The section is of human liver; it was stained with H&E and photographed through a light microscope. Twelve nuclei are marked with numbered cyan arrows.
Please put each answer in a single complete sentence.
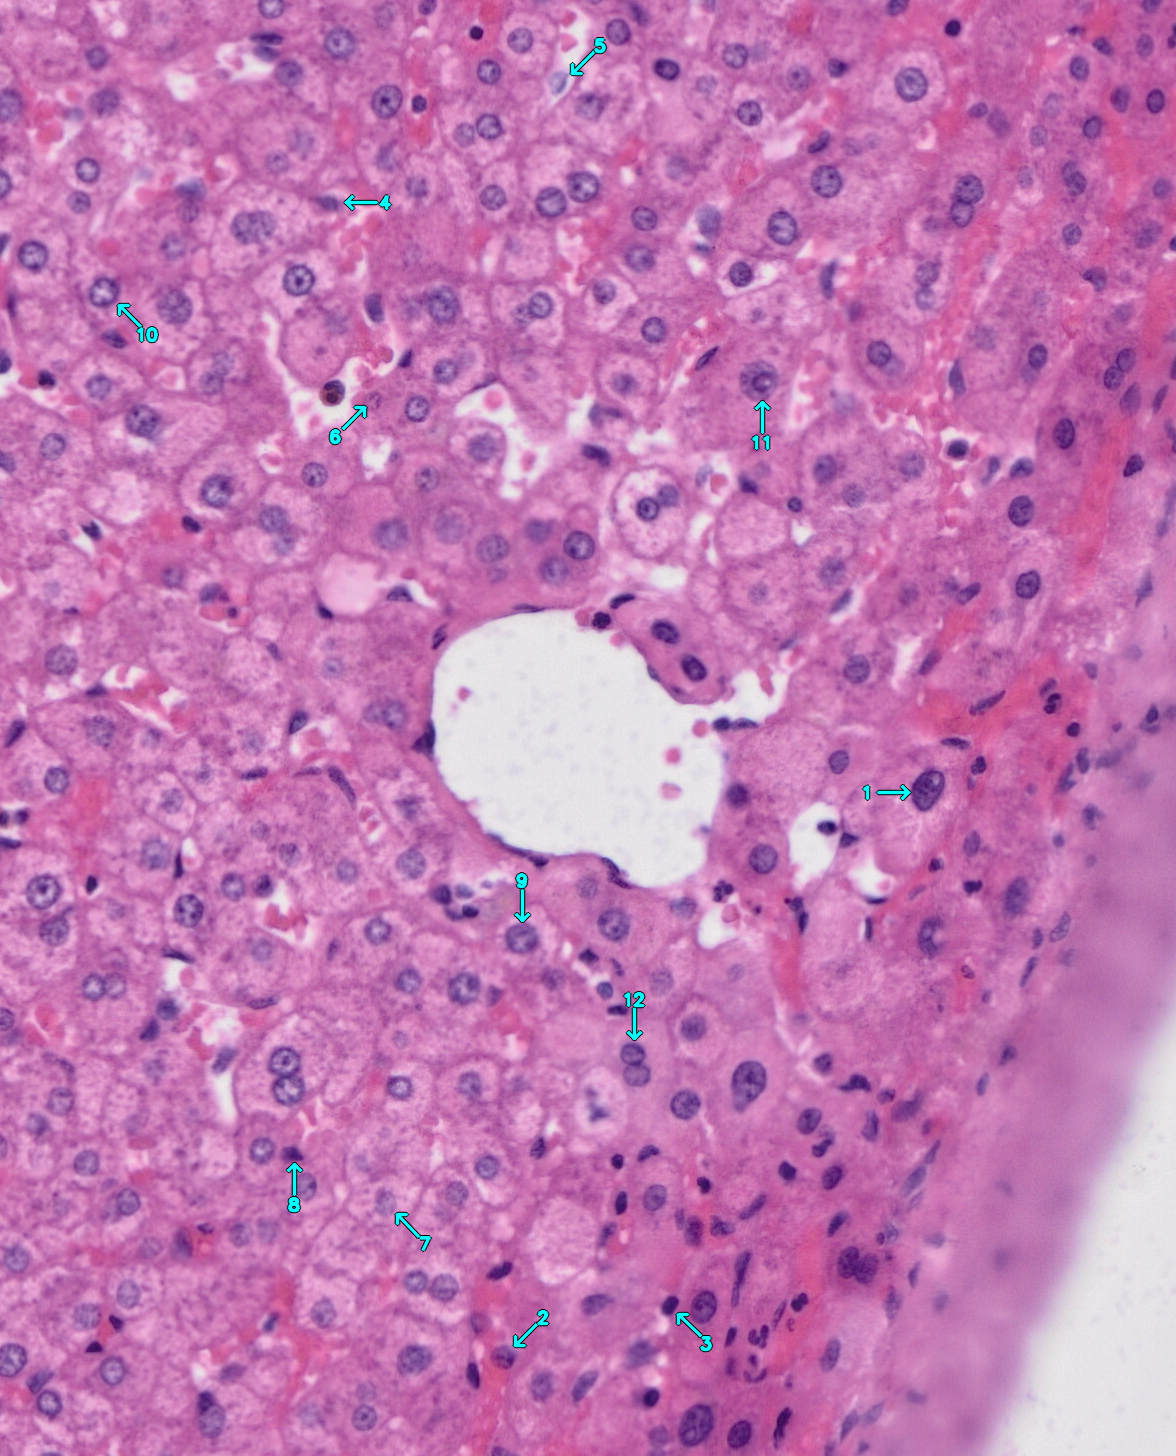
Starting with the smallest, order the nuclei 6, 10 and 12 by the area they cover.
From smallest to largest, the order is 6, 12, 10.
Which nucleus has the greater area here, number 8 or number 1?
At about 3 times the area of nucleus 8, nucleus 1 is the larger of the two.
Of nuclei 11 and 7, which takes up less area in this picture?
Nucleus 7 covers less area, with nucleus 11 about 2.5 times as large.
